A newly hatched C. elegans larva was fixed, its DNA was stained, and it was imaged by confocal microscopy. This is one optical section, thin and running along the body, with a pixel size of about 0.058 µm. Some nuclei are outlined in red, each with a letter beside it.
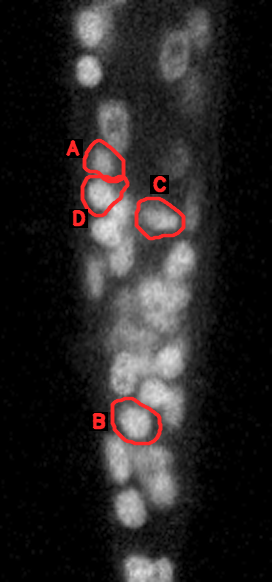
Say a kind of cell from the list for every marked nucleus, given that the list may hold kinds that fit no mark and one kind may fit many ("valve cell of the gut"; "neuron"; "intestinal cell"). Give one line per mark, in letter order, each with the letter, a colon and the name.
A: neuron
B: neuron
C: valve cell of the gut
D: neuron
